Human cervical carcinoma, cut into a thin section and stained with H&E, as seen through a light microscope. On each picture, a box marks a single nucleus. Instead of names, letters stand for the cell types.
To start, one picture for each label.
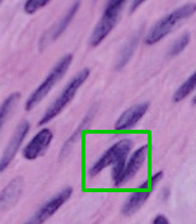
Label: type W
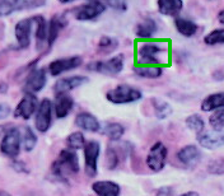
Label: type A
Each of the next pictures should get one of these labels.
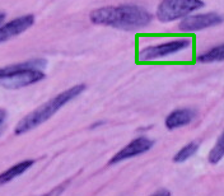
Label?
type W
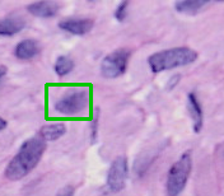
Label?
type W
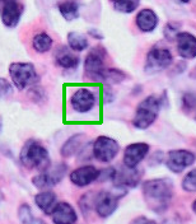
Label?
type A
